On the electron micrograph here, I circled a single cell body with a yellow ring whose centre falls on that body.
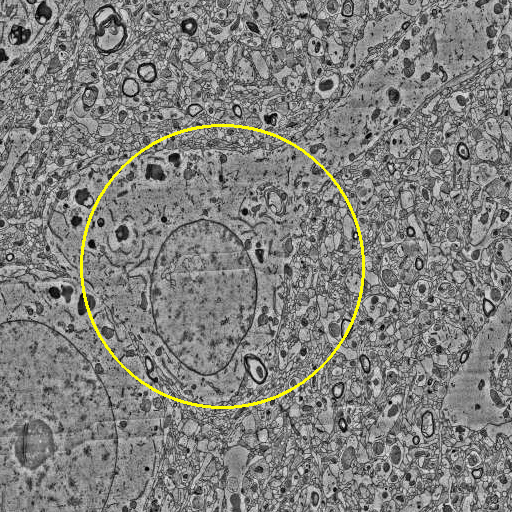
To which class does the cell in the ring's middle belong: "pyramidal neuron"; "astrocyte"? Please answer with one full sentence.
In this picture, the cell body circled at the ring's centre belongs to a pyramidal neuron.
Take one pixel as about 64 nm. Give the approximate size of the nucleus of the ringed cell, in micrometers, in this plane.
About 10 by 7 micrometres in this plane.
